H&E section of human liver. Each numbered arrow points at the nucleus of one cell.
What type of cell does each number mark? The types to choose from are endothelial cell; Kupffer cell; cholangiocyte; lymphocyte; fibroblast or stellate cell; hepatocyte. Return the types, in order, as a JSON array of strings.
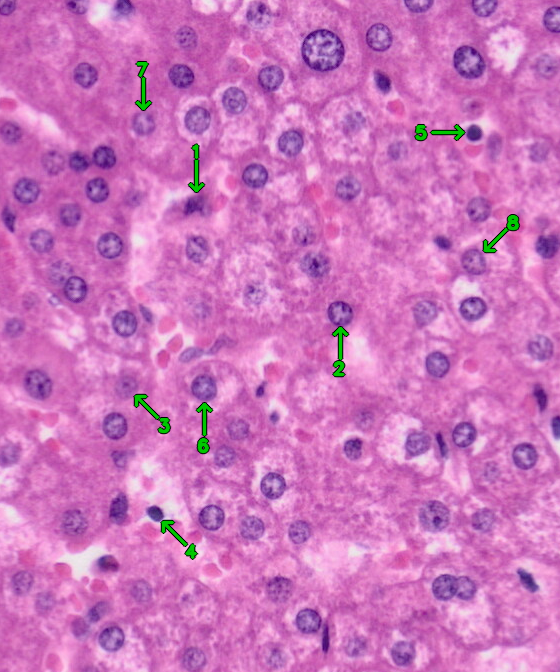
["Kupffer cell", "hepatocyte", "hepatocyte", "lymphocyte", "lymphocyte", "hepatocyte", "hepatocyte", "hepatocyte"]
